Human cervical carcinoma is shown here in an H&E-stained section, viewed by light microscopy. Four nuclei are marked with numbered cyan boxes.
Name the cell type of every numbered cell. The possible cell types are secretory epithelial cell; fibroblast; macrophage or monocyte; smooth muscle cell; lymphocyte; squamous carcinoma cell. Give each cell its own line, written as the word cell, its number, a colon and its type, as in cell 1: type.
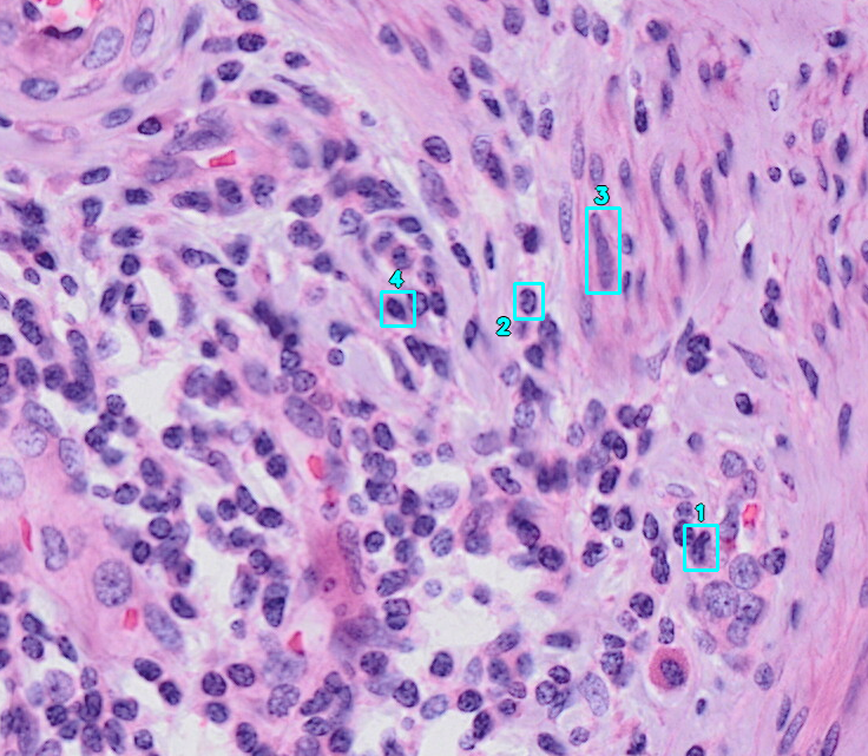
cell 1: lymphocyte
cell 2: lymphocyte
cell 3: smooth muscle cell
cell 4: lymphocyte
